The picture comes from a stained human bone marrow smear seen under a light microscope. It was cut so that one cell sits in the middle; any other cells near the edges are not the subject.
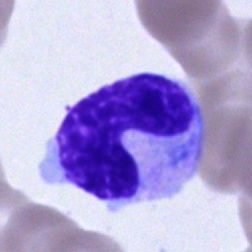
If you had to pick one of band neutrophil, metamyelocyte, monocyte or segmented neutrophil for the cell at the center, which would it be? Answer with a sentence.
In the middle of this smear crop is a band neutrophil.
